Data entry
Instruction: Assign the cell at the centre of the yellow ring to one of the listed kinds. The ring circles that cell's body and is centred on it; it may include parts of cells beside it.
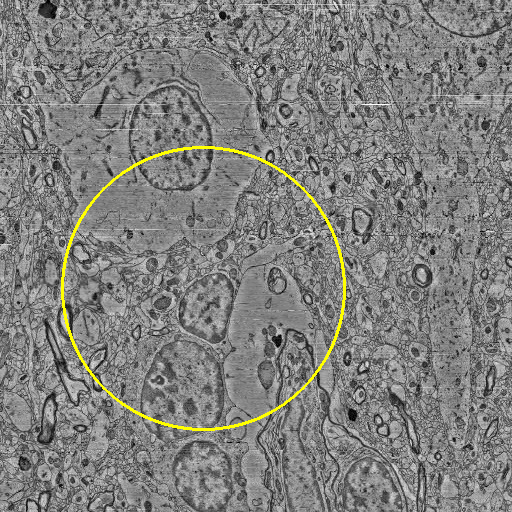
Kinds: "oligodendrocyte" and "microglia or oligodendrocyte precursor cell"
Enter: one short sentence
The centre of the ring falls on a microglial cell or oligodendrocyte precursor cell.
